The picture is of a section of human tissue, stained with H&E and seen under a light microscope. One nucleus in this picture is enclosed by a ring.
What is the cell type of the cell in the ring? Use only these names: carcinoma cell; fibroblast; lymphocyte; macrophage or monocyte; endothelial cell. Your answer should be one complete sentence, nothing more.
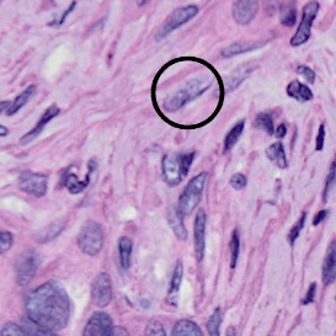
It is as a fibroblast that the cell in the ring is recorded.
